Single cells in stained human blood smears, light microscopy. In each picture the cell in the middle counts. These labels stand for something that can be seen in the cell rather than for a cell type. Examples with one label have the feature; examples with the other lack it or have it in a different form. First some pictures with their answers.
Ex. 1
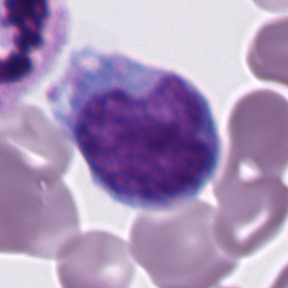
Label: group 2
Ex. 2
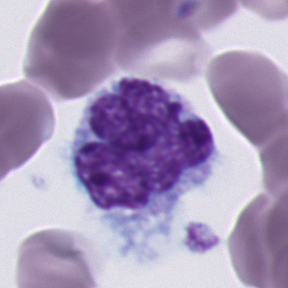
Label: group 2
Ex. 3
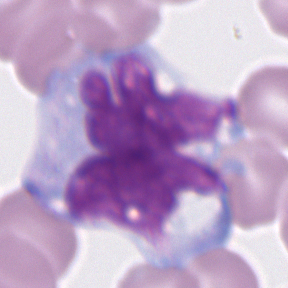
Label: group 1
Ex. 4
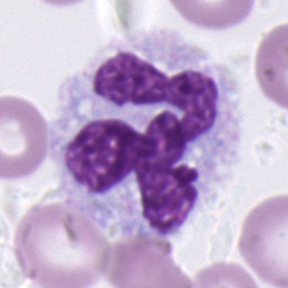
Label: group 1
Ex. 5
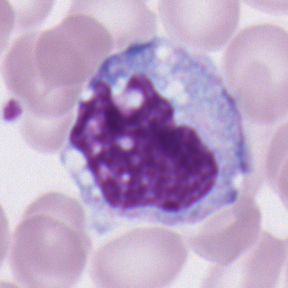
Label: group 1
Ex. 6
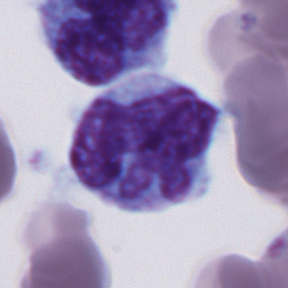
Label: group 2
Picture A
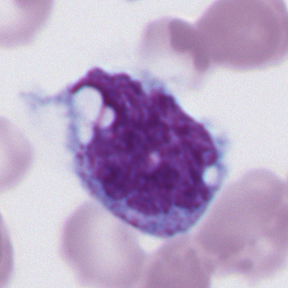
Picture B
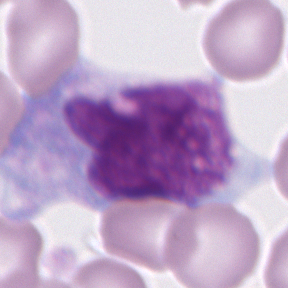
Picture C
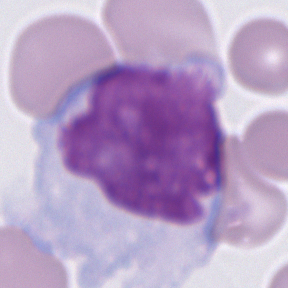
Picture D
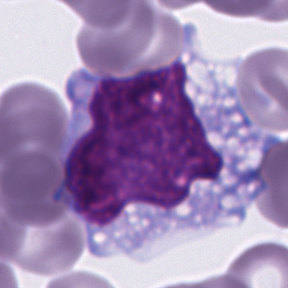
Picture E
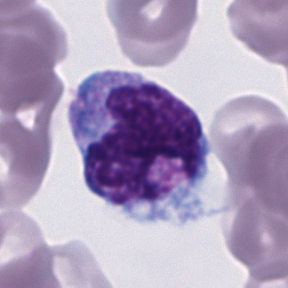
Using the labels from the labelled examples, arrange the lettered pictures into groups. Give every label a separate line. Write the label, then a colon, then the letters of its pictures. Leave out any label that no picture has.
group 2: A, E
group 1: B, C, D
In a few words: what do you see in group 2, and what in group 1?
Seen in group 2: scant cytoplasm; seen in group 1: abundant cytoplasm.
